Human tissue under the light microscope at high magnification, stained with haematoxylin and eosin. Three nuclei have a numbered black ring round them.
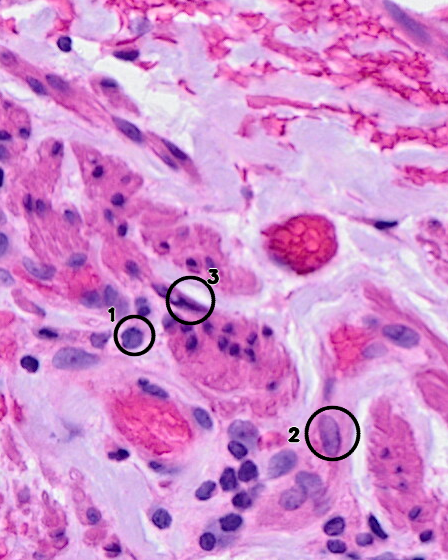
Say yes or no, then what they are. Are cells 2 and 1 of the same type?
No, the right answer is an endothelial cell for cell 2 and a lymphocyte for cell 1.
